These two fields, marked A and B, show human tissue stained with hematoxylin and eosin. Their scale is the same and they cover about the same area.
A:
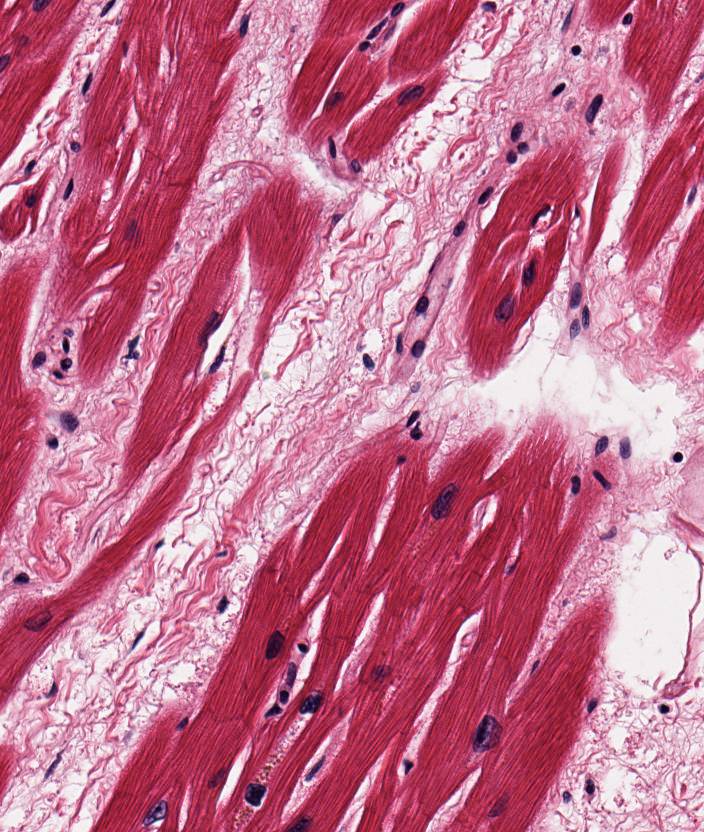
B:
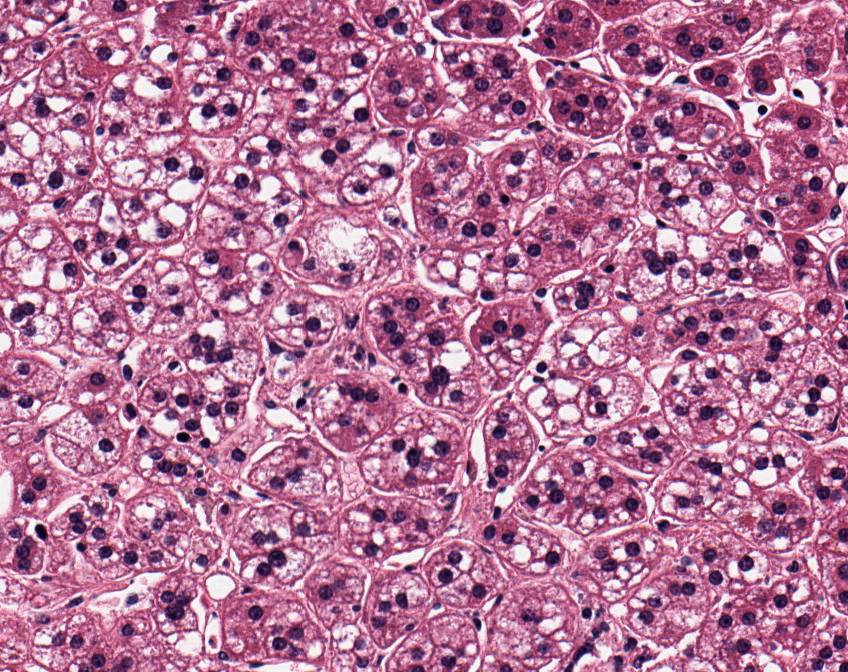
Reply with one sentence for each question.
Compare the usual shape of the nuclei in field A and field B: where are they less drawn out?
On the whole the nuclei of field B are rounder than those of field A.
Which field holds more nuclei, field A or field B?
It is field B that has more nuclei in it.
